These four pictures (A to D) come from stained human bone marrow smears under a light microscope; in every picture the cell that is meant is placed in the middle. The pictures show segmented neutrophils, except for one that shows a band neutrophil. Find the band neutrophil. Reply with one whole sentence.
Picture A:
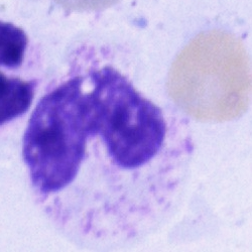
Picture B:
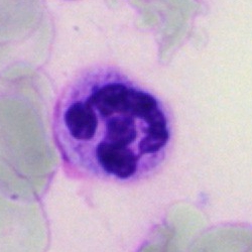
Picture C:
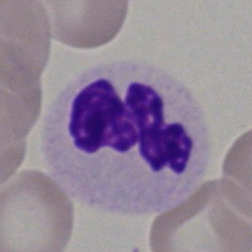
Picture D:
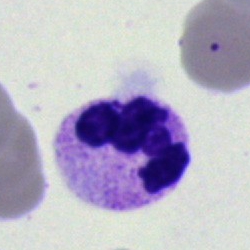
It is picture A that shows the band neutrophil.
